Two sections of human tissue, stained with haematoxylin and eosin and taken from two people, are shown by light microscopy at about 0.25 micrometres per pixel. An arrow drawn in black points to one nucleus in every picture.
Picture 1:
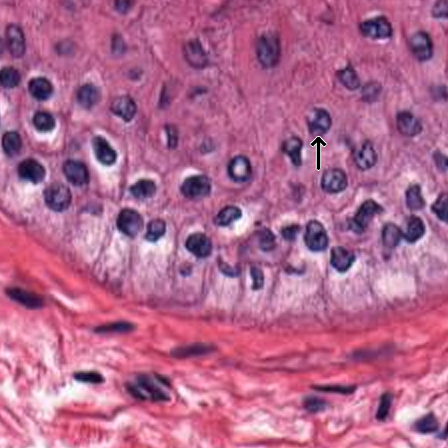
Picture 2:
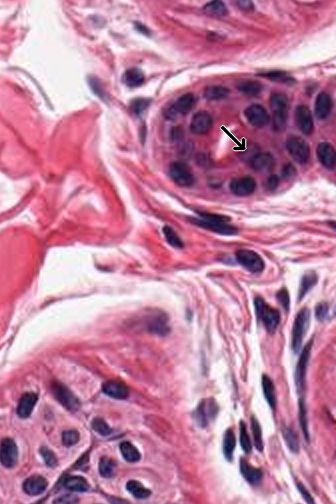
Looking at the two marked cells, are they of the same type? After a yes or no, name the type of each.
No, the first is a keratinocyte and the second a sweat gland cell.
